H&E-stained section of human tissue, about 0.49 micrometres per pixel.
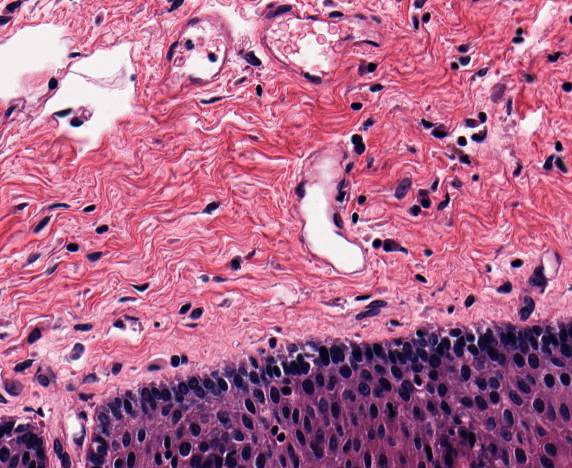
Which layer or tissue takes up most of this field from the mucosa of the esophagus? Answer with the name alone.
loose connective tissue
